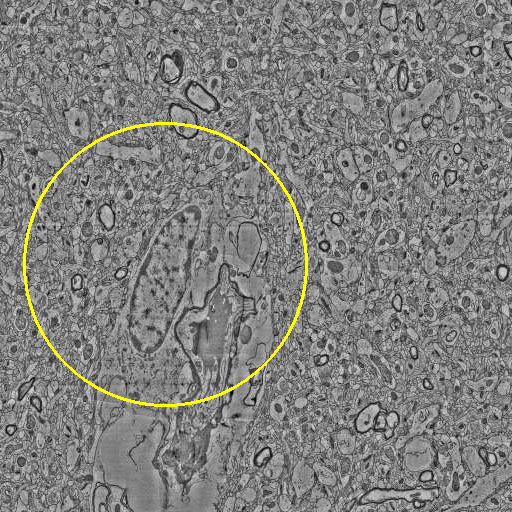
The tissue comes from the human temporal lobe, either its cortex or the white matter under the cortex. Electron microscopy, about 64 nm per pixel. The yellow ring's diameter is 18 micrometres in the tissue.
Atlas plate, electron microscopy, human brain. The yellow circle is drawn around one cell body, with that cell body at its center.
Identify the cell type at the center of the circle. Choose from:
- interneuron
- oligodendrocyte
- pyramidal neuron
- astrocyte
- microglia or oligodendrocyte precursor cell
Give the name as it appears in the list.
microglia or oligodendrocyte precursor cell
